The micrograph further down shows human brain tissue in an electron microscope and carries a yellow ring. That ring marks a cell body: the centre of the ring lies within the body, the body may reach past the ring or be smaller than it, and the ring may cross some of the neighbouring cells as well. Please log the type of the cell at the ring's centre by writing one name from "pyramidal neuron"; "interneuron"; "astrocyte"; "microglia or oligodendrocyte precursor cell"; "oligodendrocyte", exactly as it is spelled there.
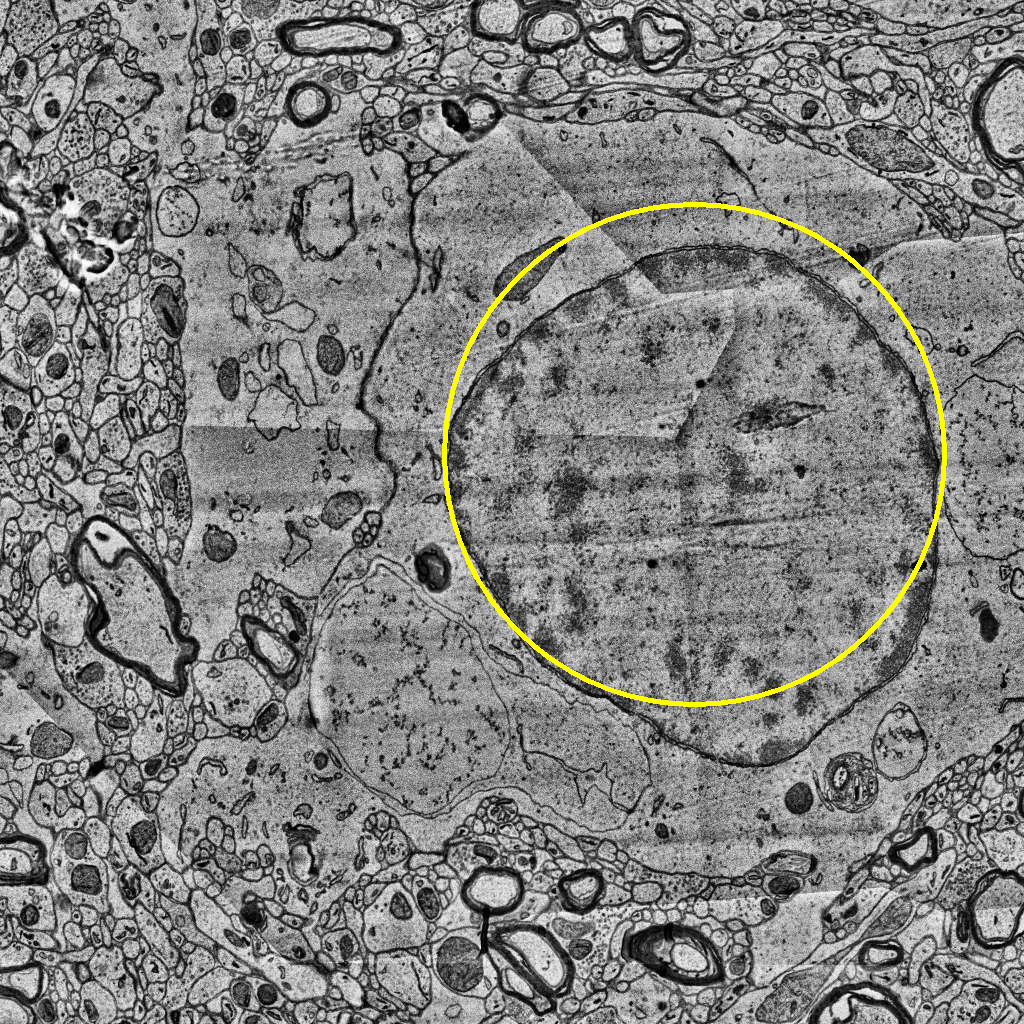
astrocyte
